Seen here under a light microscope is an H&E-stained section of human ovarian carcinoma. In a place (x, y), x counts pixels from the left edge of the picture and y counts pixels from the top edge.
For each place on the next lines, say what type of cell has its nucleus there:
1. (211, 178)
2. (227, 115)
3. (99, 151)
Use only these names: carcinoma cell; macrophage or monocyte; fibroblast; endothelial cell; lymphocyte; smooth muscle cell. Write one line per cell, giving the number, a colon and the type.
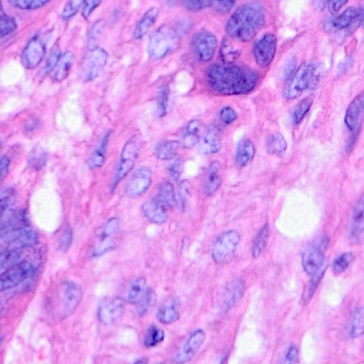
1: fibroblast
2: macrophage or monocyte
3: fibroblast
